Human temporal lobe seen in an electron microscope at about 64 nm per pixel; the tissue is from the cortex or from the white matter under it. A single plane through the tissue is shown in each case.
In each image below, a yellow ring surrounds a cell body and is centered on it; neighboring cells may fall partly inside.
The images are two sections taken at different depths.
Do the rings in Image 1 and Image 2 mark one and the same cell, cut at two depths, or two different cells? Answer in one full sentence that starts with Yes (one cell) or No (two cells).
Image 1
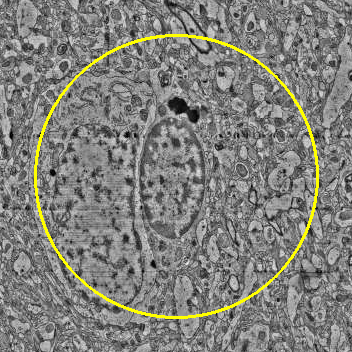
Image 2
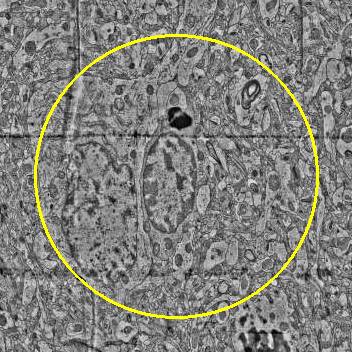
Yes, both yellow rings mark one and the same cell.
